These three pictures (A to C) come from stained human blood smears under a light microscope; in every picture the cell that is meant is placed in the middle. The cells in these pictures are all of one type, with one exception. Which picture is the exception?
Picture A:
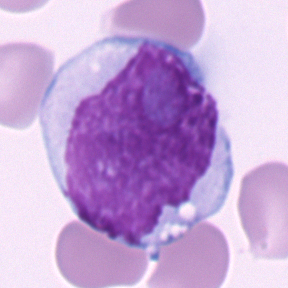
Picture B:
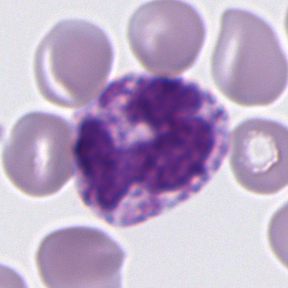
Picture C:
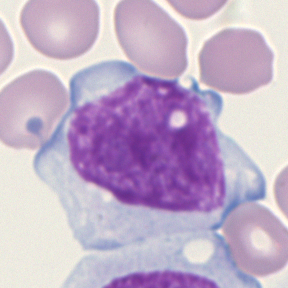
B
